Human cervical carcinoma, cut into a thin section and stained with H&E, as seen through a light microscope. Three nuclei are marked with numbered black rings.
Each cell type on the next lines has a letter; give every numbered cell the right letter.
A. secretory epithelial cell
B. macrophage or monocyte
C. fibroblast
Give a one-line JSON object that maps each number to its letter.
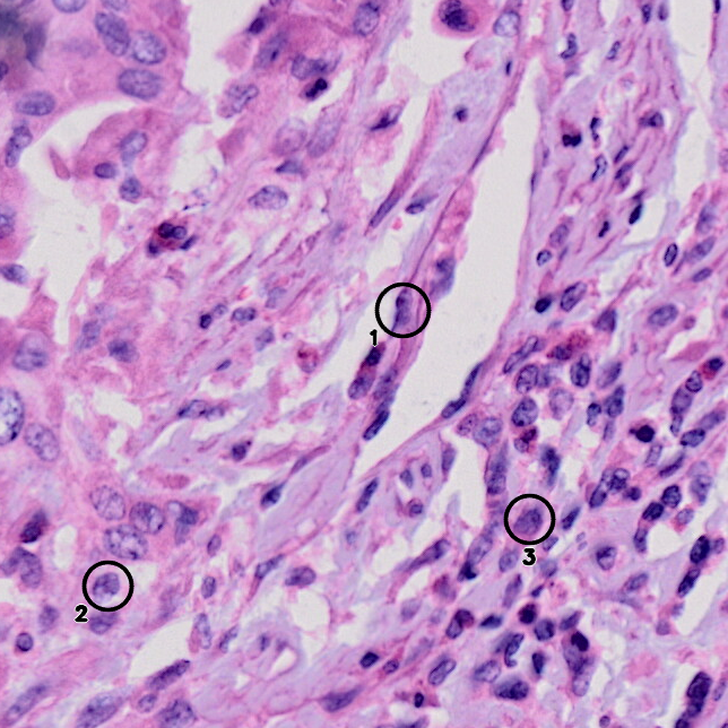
{"1": "C", "2": "B", "3": "B"}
